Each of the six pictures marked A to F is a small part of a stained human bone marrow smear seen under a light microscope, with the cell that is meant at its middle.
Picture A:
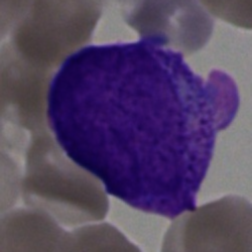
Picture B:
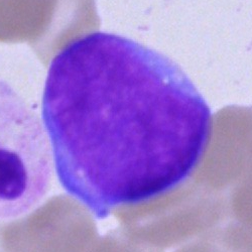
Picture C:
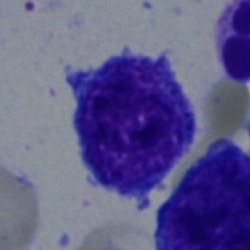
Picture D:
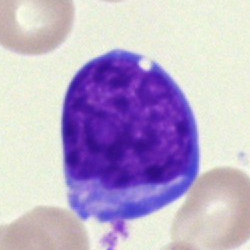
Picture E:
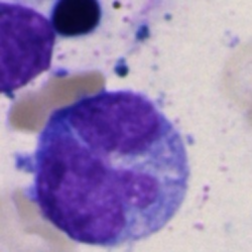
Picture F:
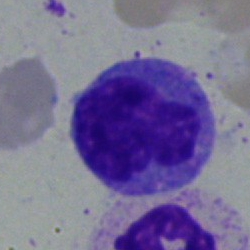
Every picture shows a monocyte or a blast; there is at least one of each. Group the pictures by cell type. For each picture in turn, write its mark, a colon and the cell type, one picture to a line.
A: blast
B: blast
C: blast
D: blast
E: monocyte
F: monocyte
